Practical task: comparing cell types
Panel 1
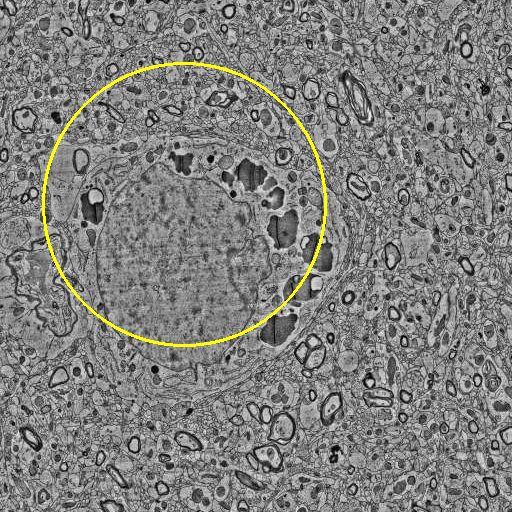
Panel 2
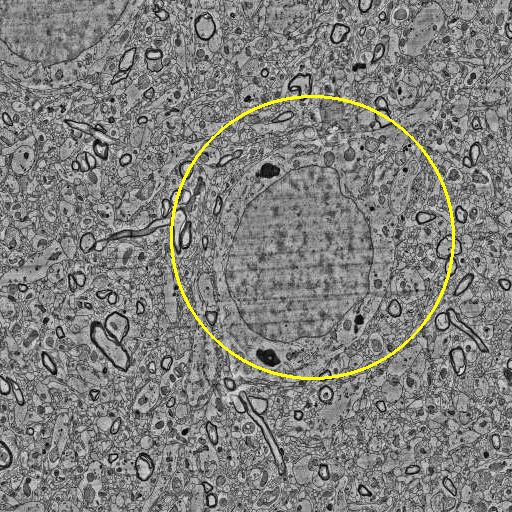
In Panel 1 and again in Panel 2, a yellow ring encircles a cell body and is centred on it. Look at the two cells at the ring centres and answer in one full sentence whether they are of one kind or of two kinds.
The two cells sitting at the ring centres of Panels 1 and 2 are of two kinds.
